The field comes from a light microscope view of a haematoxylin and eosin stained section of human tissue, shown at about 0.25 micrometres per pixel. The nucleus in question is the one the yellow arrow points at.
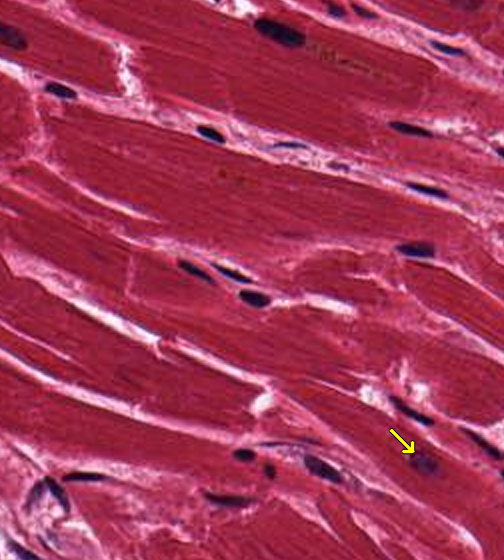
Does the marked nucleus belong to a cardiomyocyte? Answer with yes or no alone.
yes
